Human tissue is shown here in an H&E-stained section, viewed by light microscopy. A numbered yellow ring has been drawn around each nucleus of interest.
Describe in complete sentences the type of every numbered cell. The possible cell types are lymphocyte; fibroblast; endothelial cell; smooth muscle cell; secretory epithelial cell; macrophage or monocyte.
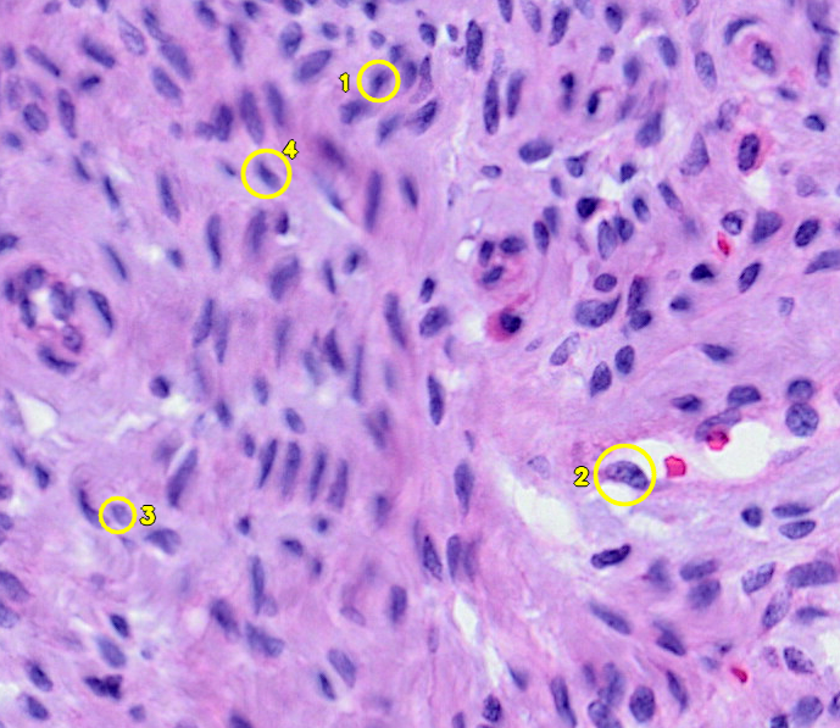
Cells 1, 3 and 4 are fibroblasts. Cell 2 is an endothelial cell.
